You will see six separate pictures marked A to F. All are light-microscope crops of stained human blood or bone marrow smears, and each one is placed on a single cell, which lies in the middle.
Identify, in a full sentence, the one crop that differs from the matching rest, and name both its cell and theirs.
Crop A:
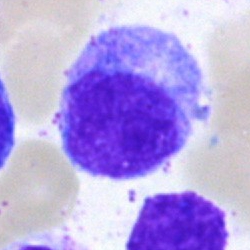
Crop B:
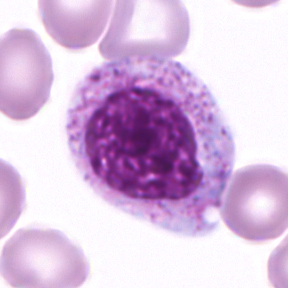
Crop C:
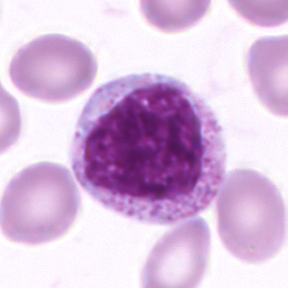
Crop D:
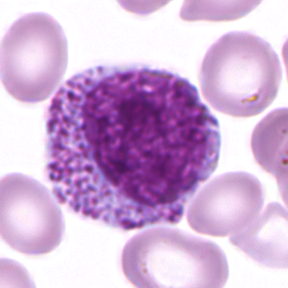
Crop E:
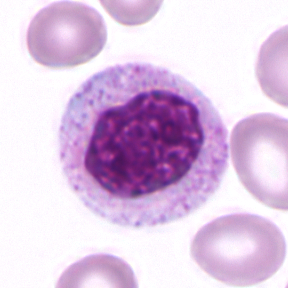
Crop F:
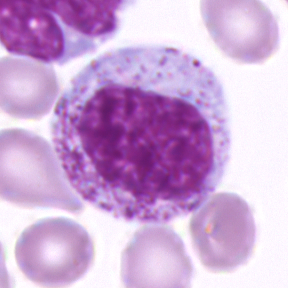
The central cell of crop E is a metamyelocyte, while the other crops show myelocytes.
